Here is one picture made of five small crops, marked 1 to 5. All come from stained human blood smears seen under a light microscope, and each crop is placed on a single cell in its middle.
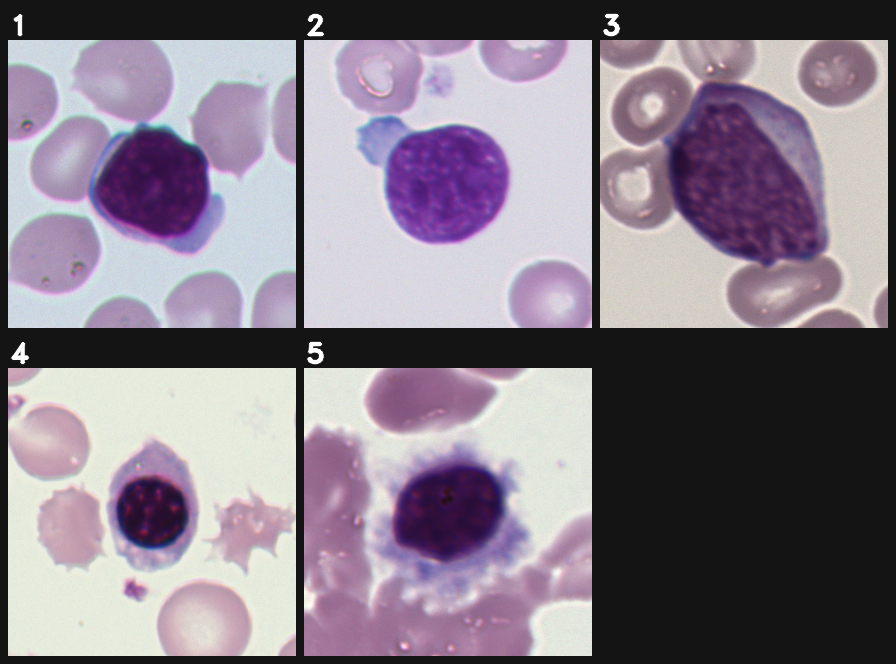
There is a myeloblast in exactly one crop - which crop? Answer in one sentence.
In the set of crops, crop 2 is the one that contains a myeloblast.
